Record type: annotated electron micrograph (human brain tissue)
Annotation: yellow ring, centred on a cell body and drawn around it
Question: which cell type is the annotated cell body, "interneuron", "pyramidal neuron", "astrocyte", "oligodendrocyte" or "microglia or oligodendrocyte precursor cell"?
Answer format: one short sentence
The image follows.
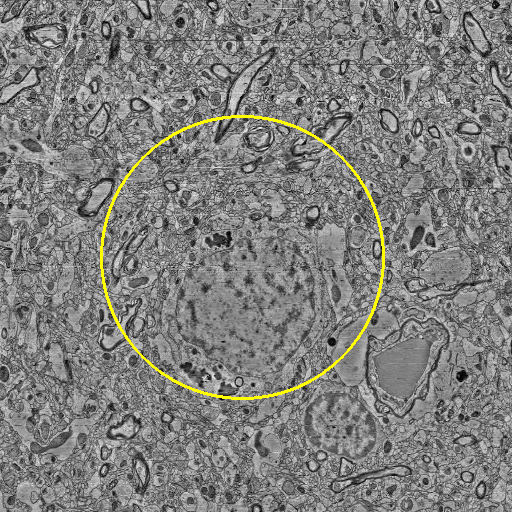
The annotated cell body is that of an interneuron.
